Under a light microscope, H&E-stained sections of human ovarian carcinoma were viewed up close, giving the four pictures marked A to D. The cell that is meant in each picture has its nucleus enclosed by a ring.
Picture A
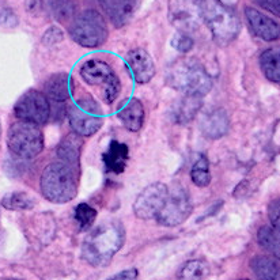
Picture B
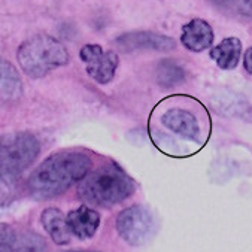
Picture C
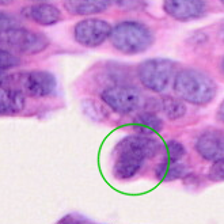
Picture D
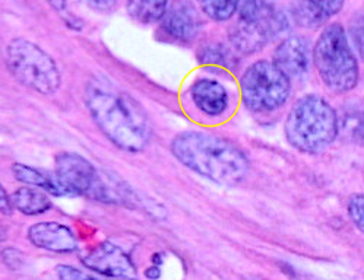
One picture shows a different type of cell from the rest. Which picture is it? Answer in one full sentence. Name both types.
The different one is picture C; it shows a carcinoma cell, whereas all the others show “macrophages or monocytes”.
